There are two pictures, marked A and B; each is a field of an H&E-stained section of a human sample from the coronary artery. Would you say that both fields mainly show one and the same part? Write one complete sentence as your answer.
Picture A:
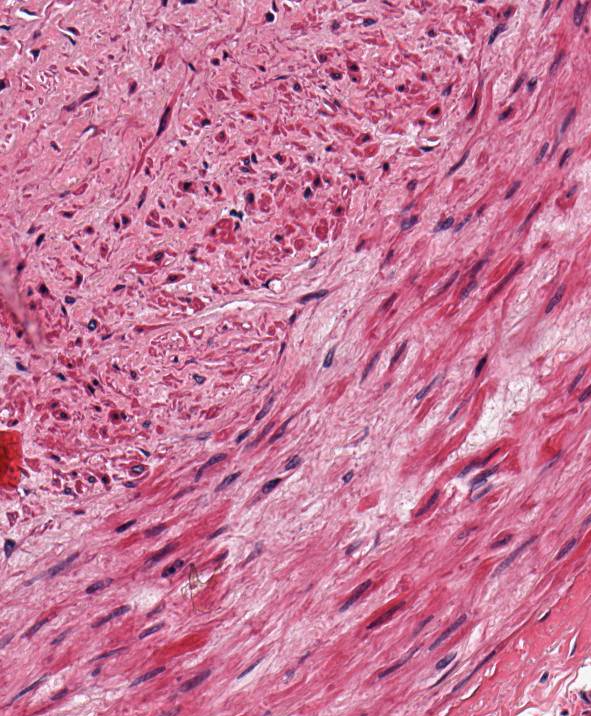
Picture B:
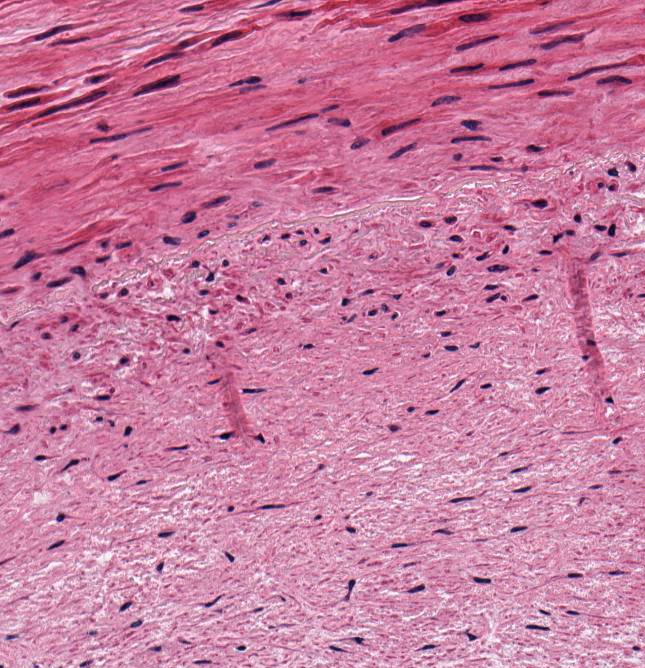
No, picture A mainly shows the tunica media and picture B mainly shows the tunica intima.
